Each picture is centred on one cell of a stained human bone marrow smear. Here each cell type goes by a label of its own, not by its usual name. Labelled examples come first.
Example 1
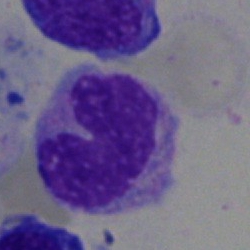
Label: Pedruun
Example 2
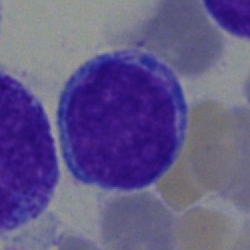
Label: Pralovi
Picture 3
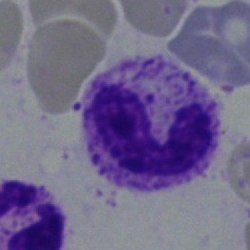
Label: Pedruun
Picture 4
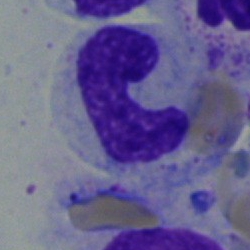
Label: Pedruun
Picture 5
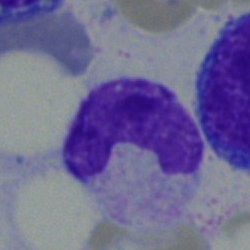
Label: Pedruun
